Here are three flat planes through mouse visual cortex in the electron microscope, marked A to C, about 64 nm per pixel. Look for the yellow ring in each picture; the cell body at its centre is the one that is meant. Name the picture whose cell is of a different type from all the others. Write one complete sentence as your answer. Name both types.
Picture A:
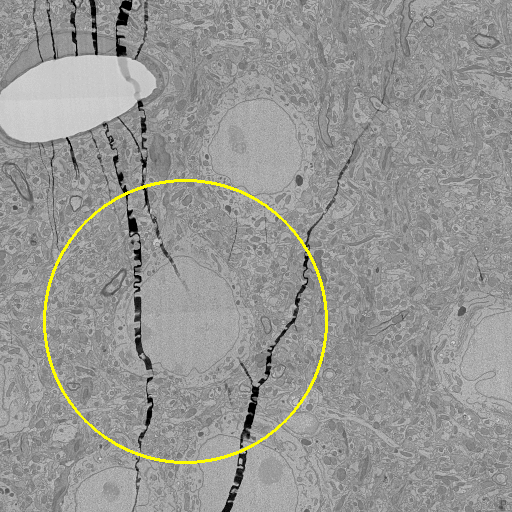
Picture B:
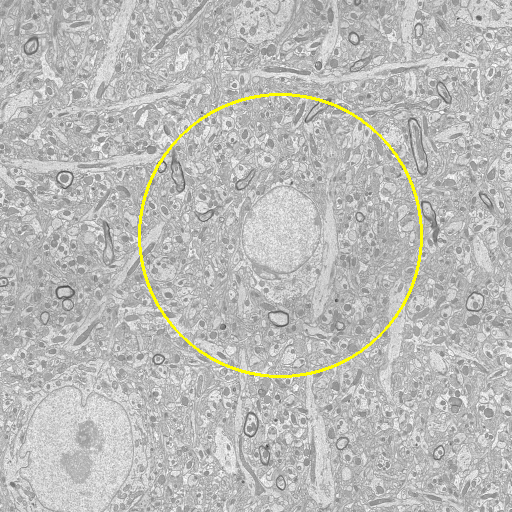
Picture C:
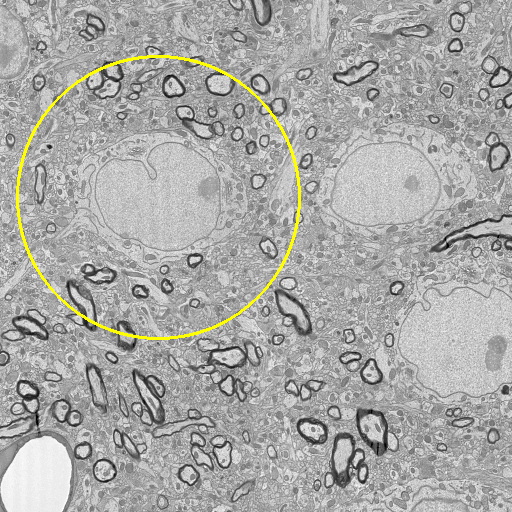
Picture B differs, because its cell is an astrocyte and the rest are excitatory neurons.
